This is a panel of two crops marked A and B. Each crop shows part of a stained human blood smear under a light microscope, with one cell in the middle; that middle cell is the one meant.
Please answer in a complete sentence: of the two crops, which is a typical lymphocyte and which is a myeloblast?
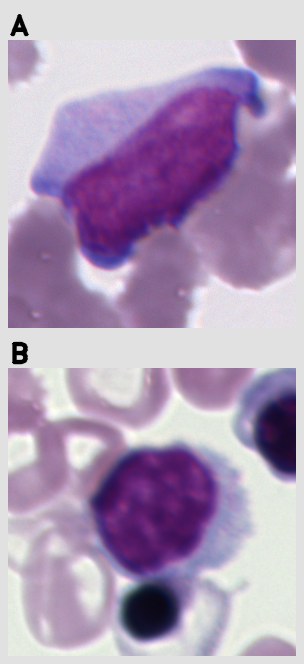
Recognised in crop A is a myeloblast, and recognised in crop B is a typical lymphocyte.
